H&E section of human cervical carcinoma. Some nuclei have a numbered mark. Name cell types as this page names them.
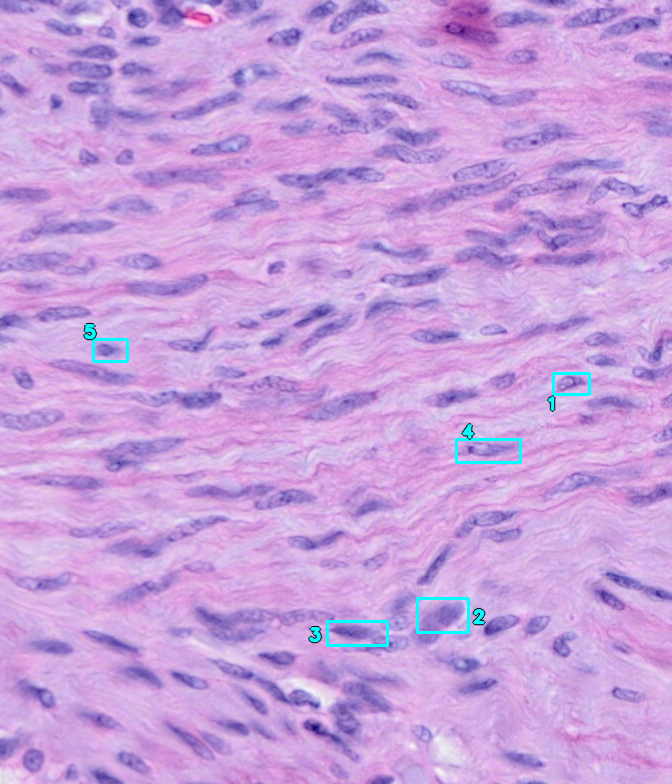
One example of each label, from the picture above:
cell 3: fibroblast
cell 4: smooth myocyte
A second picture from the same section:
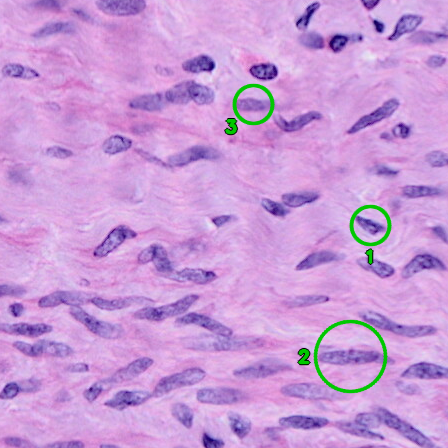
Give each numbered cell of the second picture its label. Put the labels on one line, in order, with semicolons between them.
fibroblast; smooth myocyte; smooth myocyte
